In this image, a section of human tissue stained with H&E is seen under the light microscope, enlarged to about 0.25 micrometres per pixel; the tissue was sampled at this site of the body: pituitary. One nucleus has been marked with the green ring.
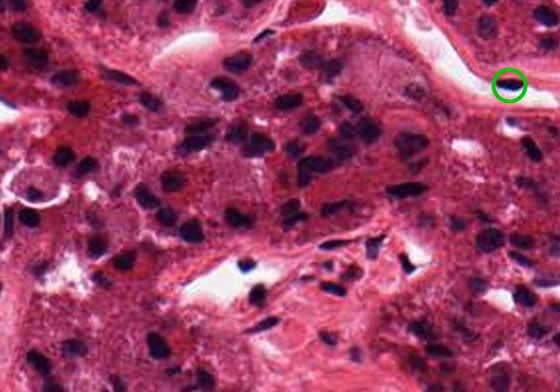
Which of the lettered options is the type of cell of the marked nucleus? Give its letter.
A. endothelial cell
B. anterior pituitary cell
A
